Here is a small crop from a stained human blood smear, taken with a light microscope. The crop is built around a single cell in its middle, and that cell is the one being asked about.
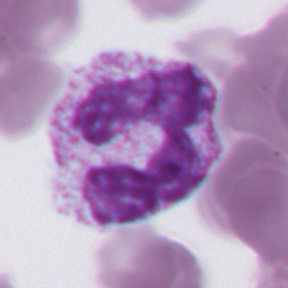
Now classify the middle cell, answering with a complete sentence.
Standing at the centre of this crop is a segmented neutrophil.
